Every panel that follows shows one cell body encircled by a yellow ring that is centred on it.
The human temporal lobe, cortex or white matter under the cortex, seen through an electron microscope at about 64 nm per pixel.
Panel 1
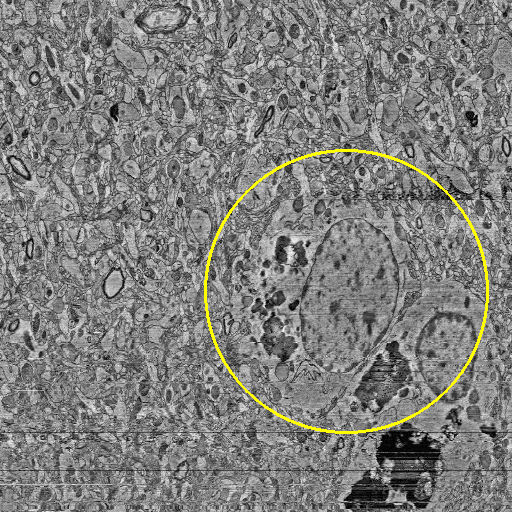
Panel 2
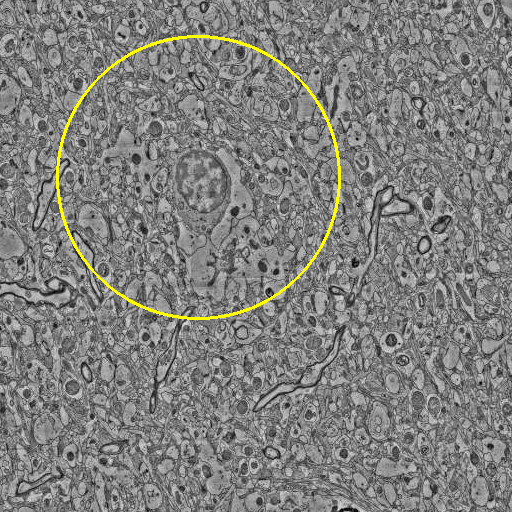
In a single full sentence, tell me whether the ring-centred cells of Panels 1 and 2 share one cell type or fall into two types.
In Panel 1 and Panel 2, the cells at the ring centres fall into two types.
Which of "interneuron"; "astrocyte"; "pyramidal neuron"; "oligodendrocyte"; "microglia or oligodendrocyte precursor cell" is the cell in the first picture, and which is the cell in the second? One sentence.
The two differ: the first cell is an astrocyte and the second is an oligodendrocyte.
